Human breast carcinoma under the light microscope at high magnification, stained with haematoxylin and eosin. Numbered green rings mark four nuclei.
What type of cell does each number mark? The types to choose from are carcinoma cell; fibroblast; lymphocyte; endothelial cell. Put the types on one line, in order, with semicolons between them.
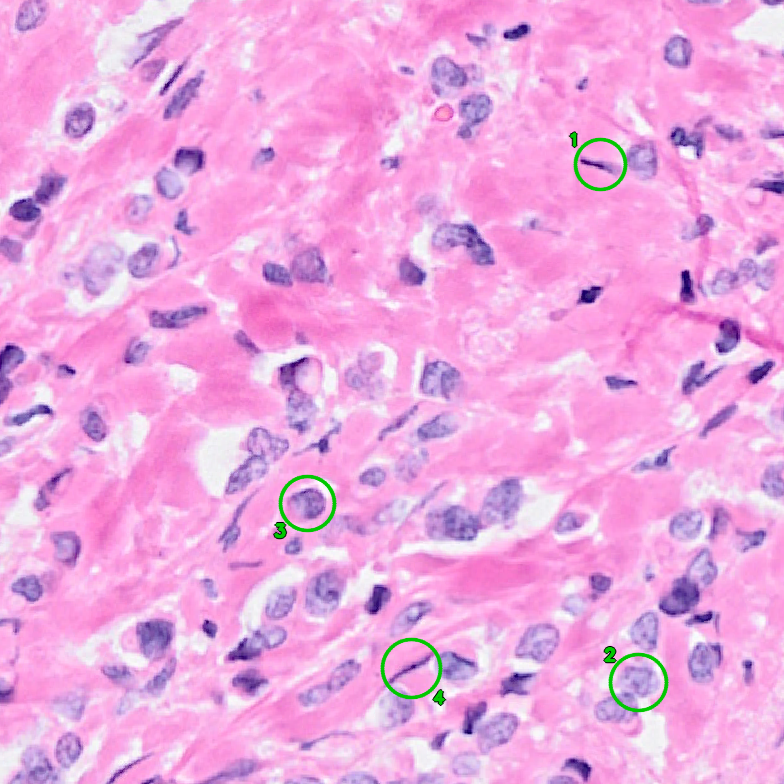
fibroblast; carcinoma cell; carcinoma cell; fibroblast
